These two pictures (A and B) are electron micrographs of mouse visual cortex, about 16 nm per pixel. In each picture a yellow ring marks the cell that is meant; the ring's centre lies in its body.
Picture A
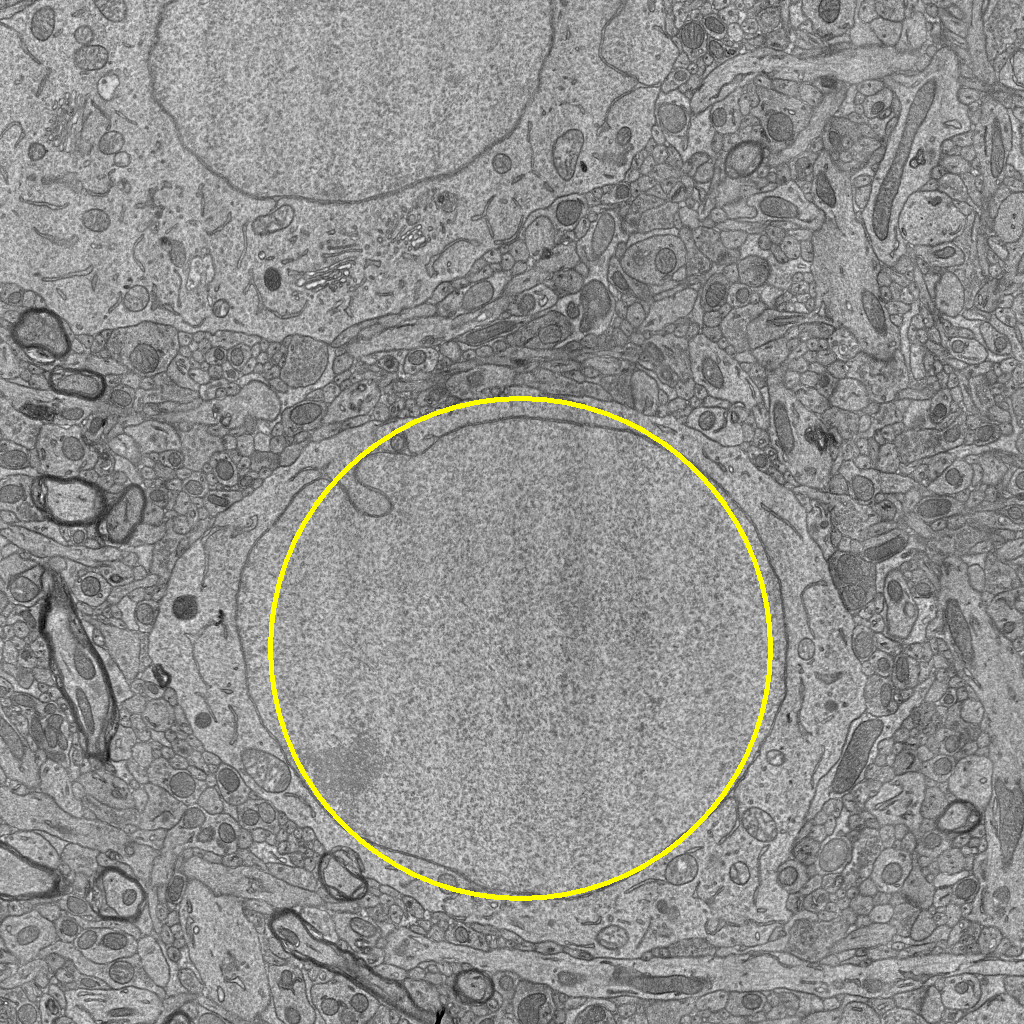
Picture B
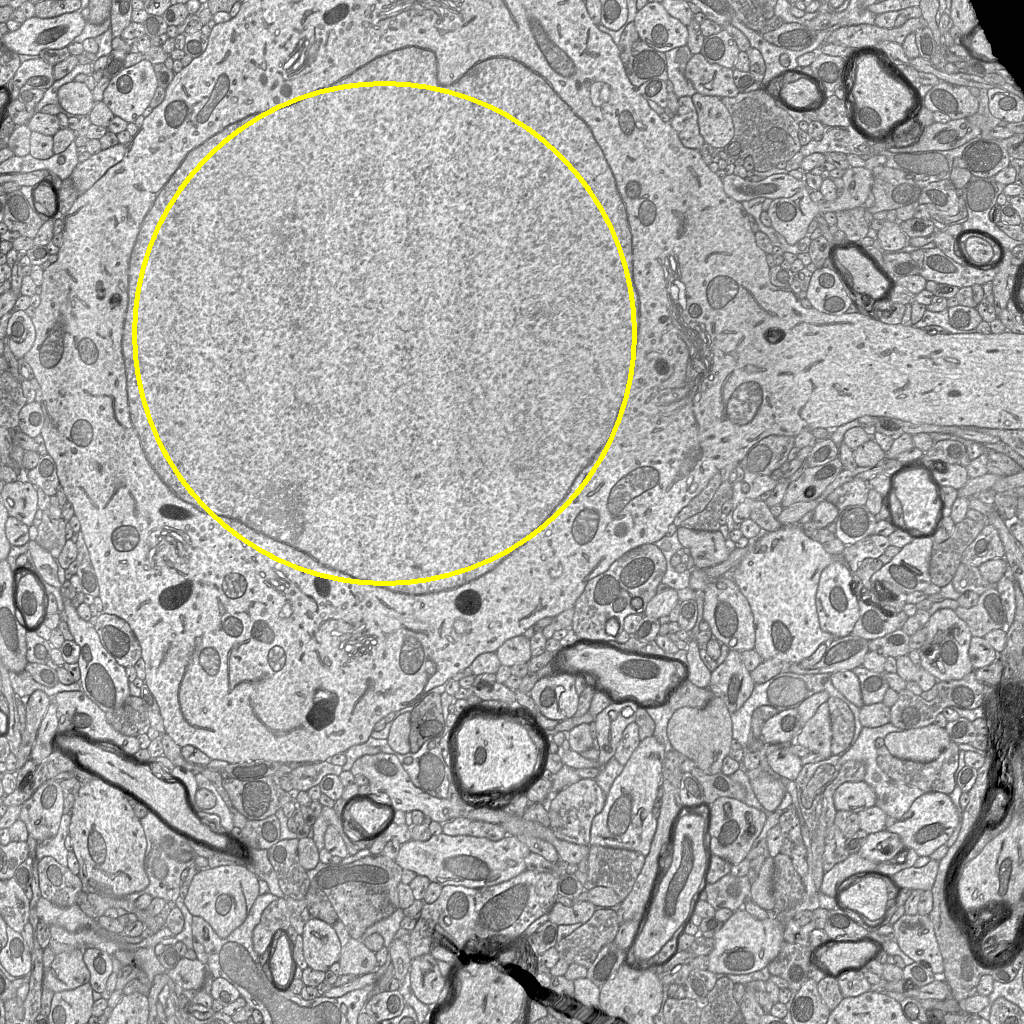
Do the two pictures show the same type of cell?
Yes; the cells in both pictures are excitatory neurons.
